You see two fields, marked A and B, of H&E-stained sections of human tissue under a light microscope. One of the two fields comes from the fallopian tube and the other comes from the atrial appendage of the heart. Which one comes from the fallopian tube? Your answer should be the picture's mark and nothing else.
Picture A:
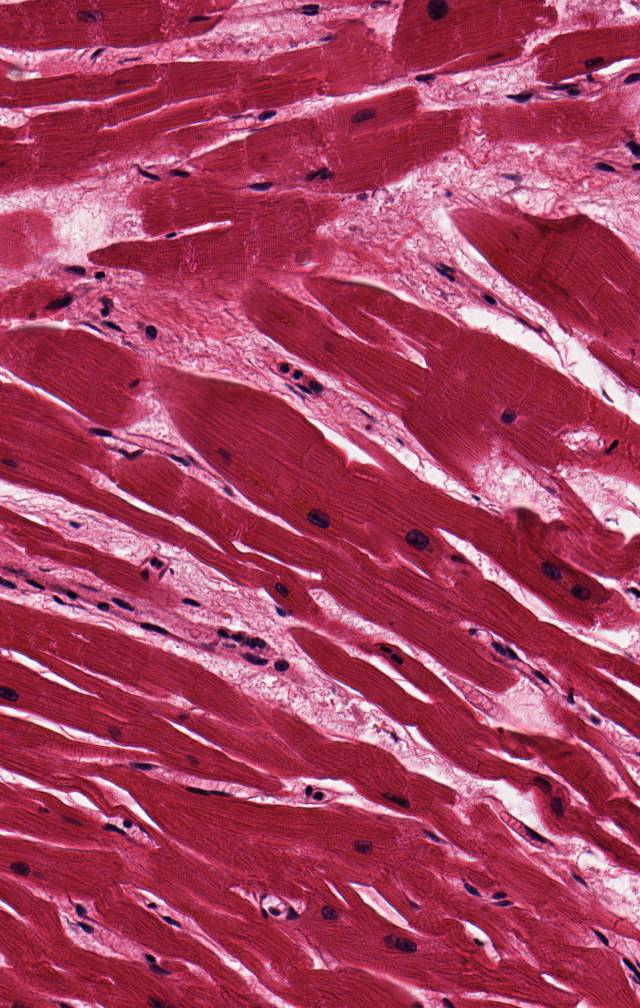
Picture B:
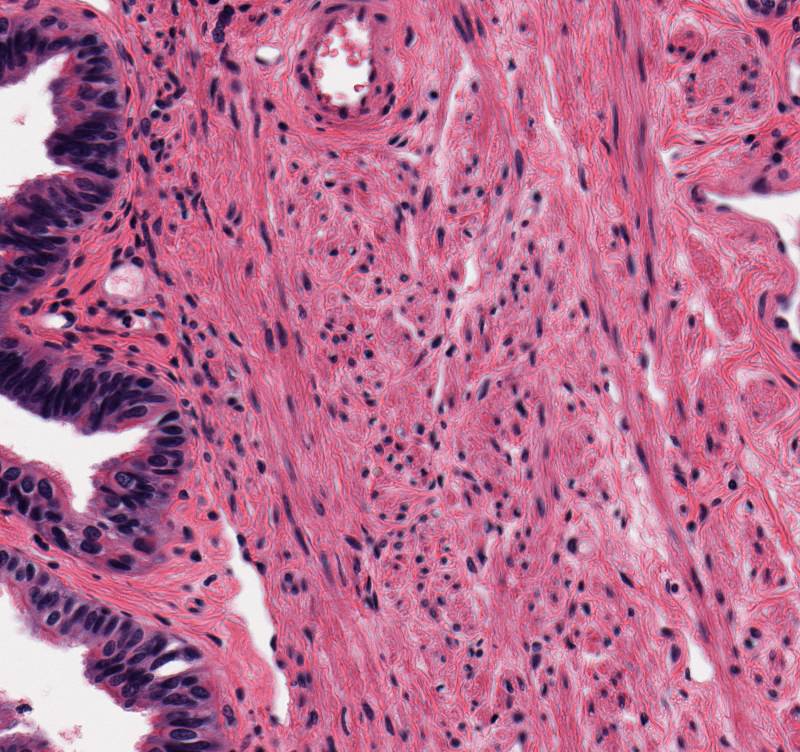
B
